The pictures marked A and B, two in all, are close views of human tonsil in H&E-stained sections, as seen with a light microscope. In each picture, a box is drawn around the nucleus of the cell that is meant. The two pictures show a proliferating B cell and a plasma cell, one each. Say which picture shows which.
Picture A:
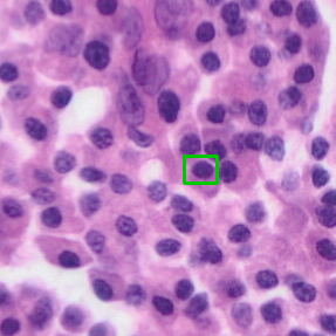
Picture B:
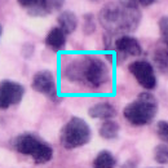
A: plasma cell
B: proliferating B cell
